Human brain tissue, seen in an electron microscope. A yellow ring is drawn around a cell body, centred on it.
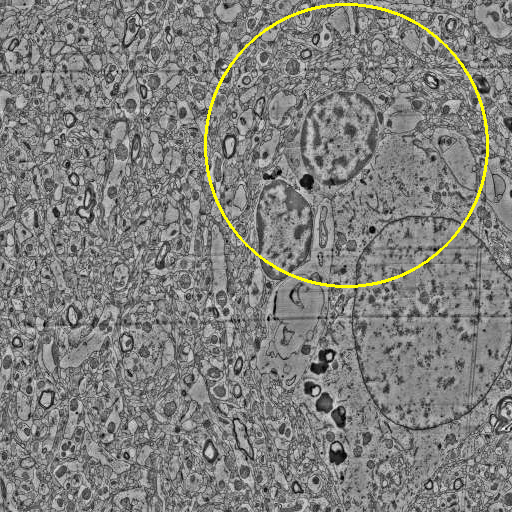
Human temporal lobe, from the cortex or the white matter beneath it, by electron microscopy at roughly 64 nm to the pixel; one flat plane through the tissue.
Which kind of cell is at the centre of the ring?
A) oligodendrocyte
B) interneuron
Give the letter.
A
